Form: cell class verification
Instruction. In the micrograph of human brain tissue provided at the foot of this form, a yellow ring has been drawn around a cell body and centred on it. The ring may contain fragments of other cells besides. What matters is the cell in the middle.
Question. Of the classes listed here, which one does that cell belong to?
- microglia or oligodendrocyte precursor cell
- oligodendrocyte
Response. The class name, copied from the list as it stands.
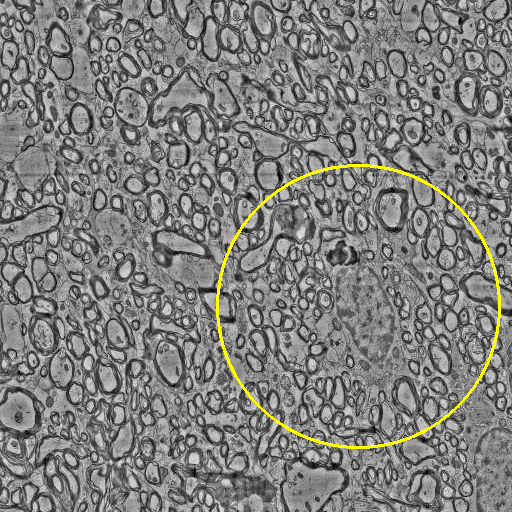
oligodendrocyte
